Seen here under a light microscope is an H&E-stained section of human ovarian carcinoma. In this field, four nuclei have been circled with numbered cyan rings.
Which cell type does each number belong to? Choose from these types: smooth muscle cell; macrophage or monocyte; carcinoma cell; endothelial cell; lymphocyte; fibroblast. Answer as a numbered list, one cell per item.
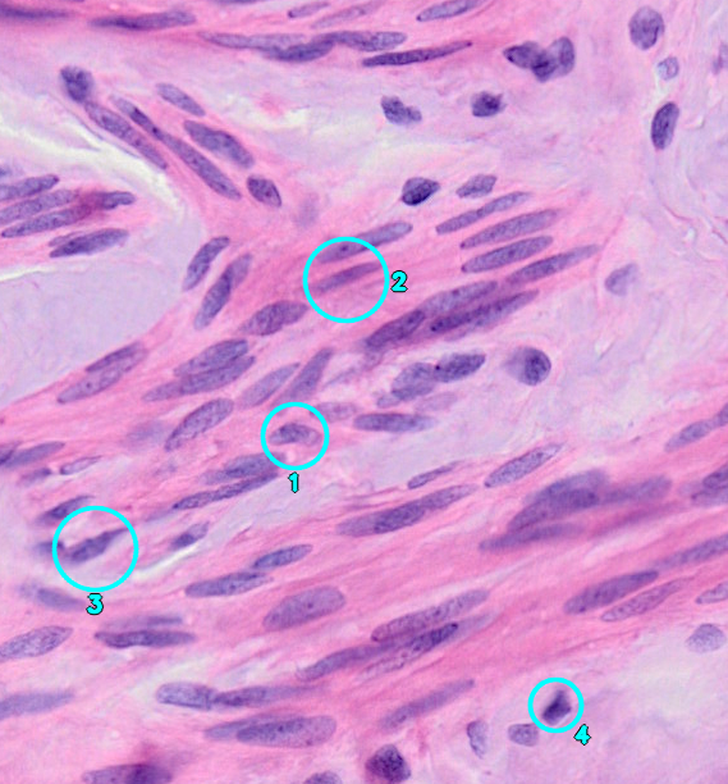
1. smooth muscle cell
2. smooth muscle cell
3. smooth muscle cell
4. fibroblast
